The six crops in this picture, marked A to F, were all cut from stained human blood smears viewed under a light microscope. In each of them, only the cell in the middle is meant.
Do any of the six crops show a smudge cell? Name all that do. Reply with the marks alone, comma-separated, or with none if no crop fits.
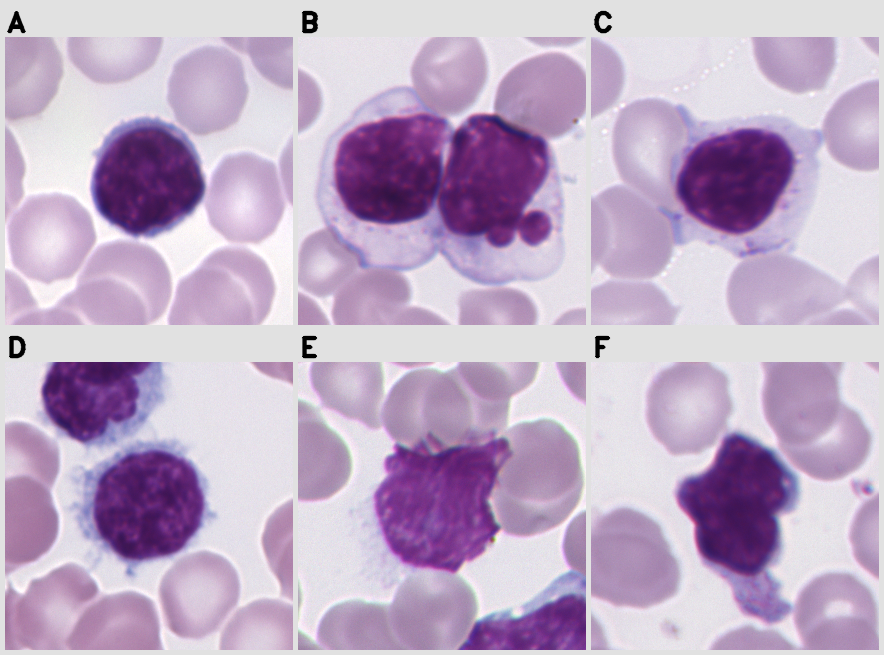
E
